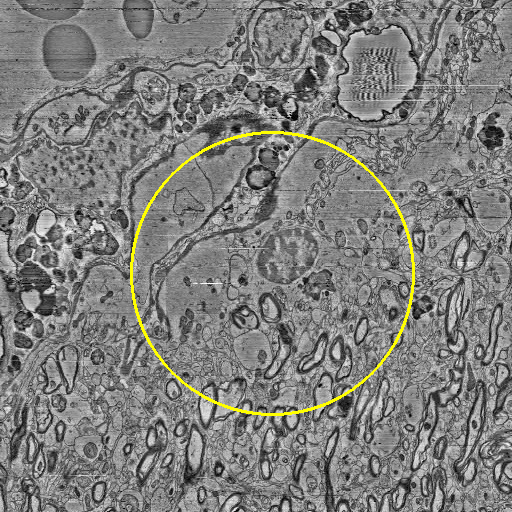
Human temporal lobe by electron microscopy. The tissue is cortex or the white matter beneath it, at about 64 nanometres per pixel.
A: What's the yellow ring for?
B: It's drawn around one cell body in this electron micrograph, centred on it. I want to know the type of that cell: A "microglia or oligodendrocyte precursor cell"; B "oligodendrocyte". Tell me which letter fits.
A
